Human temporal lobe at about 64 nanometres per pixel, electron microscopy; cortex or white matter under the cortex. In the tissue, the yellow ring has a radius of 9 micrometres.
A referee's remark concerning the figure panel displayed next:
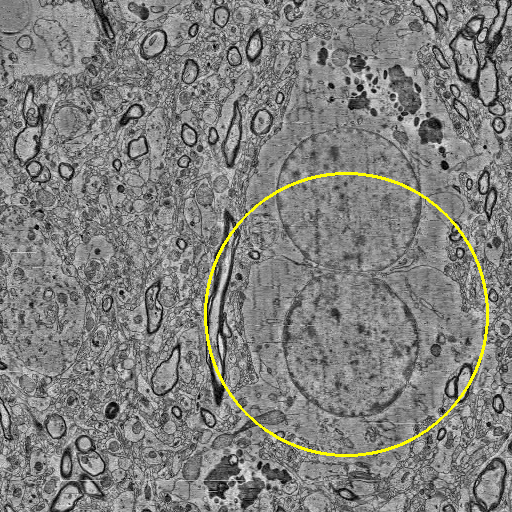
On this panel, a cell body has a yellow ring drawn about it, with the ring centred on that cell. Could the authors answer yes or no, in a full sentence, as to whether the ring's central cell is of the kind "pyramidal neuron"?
No, the cell sitting at the middle of the ring on this panel belongs to a different kind.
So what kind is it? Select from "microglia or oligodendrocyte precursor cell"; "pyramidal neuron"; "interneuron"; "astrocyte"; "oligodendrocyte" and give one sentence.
Instead, the ringed cell here is an astrocyte.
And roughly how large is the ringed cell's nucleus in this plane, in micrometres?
Approximately 9 micrometres across in this plane.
